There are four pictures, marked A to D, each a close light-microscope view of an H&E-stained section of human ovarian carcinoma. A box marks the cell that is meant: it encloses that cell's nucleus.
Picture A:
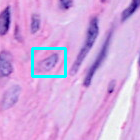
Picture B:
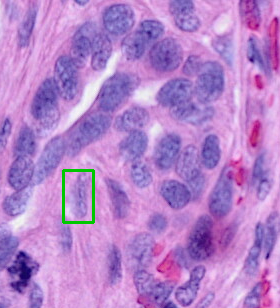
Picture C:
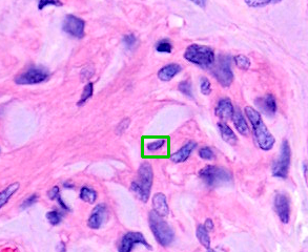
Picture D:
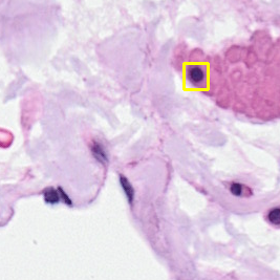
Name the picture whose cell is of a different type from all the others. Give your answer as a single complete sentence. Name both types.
Picture B is the odd one out: it shows a fibroblast, while the others show smooth muscle cells.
